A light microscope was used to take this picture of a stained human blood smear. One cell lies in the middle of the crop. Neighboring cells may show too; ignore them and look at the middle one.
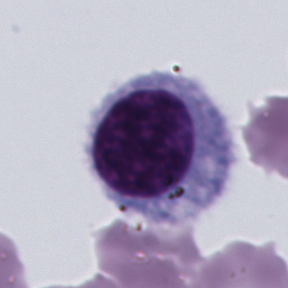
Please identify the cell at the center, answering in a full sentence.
Centred in the crop is a hairy cell.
